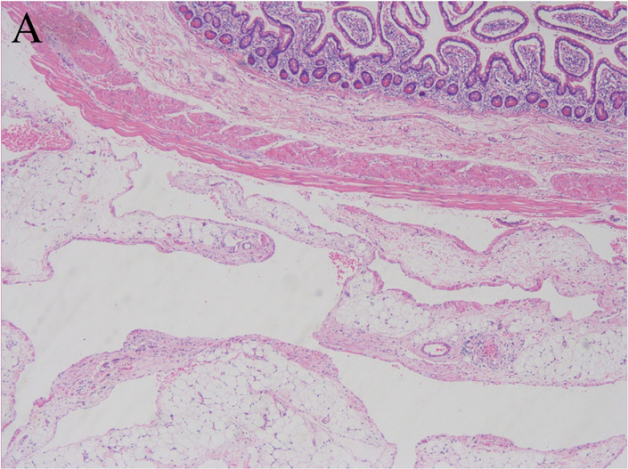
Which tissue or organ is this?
Small bowel wall.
